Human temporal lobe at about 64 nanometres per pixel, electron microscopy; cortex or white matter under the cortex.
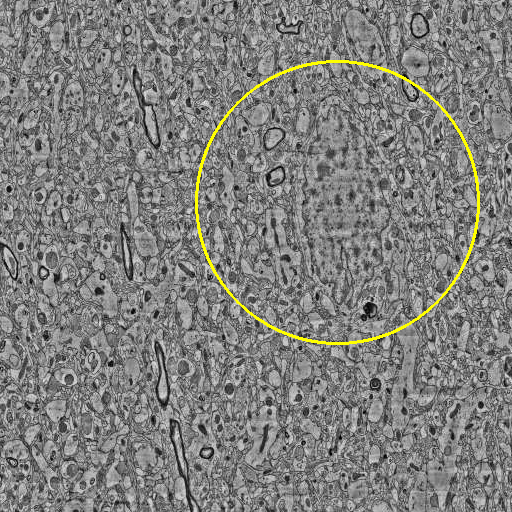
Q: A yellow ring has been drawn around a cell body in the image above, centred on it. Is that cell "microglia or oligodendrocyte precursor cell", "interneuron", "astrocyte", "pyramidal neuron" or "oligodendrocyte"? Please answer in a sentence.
The ring surrounds the cell body of an interneuron.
